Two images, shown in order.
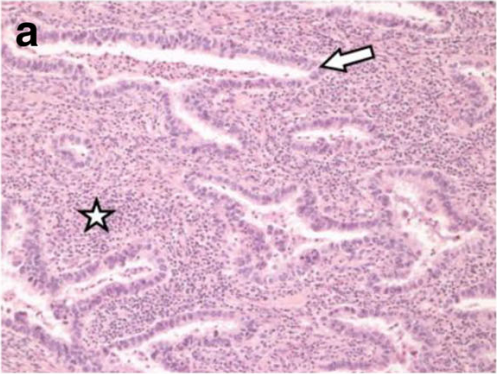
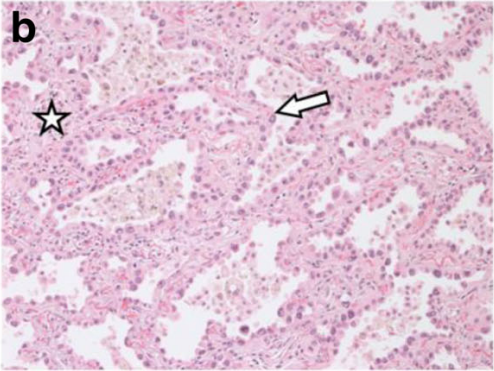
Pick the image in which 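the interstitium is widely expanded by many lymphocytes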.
The first image.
